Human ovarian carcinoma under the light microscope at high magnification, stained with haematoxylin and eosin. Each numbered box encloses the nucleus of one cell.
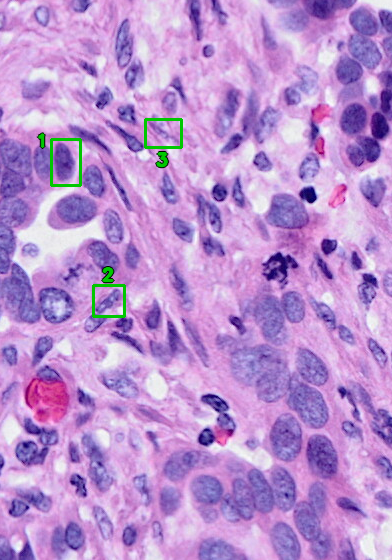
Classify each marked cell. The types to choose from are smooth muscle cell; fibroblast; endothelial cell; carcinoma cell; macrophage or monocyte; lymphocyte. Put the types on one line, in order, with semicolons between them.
carcinoma cell; fibroblast; fibroblast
